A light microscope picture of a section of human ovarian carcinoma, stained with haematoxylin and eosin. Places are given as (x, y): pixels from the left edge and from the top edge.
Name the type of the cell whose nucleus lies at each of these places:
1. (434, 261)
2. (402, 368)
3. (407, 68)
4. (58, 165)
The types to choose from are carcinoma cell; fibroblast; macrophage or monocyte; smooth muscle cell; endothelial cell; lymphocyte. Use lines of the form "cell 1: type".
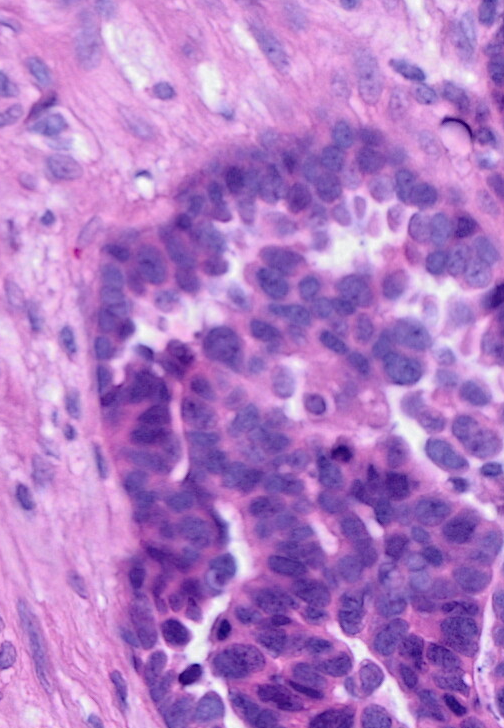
cell 1: carcinoma cell
cell 2: carcinoma cell
cell 3: macrophage or monocyte
cell 4: fibroblast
